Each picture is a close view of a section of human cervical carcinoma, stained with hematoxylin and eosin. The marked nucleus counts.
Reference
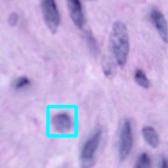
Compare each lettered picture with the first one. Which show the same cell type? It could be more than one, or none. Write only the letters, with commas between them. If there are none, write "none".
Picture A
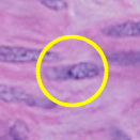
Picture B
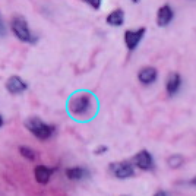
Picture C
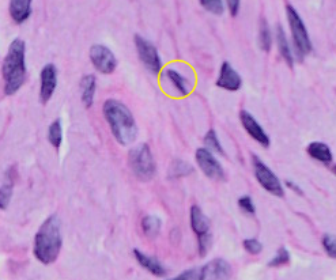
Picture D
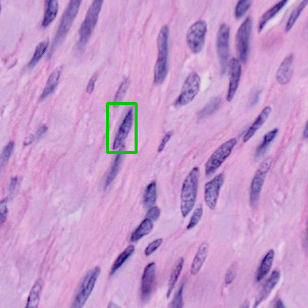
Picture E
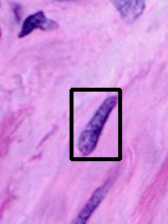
C, D, E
